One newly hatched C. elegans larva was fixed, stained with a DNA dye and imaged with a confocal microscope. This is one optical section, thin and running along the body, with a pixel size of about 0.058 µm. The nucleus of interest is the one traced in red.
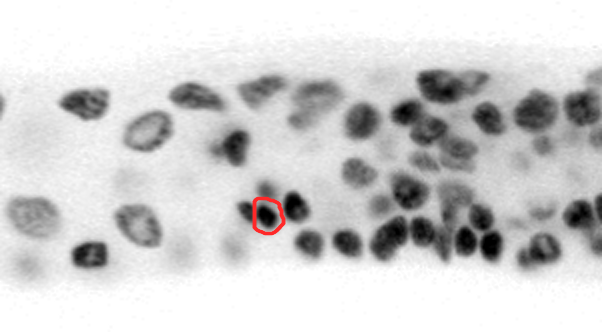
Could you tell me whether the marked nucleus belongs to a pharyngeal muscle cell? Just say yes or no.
no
